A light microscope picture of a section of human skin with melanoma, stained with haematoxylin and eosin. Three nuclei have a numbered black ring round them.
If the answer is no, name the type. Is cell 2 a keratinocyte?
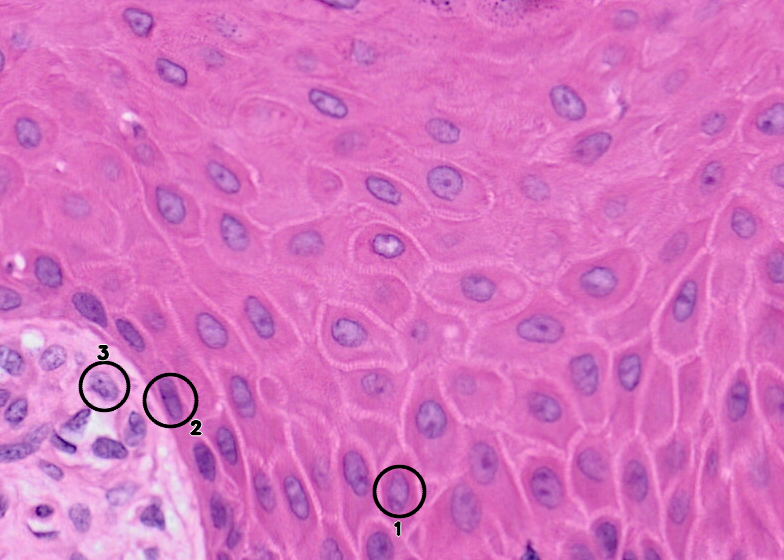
Yes.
